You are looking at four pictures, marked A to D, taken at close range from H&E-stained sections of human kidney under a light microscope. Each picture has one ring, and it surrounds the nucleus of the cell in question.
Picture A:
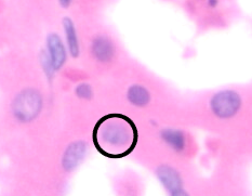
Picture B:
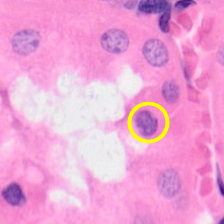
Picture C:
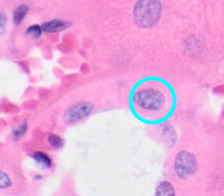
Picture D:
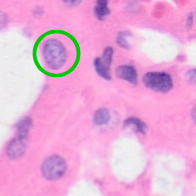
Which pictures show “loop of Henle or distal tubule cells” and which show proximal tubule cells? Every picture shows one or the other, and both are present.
A: loop of Henle or distal tubule cell
B: proximal tubule cell
C: loop of Henle or distal tubule cell
D: loop of Henle or distal tubule cell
